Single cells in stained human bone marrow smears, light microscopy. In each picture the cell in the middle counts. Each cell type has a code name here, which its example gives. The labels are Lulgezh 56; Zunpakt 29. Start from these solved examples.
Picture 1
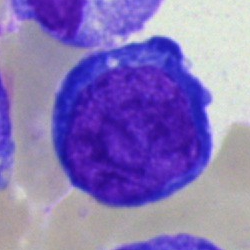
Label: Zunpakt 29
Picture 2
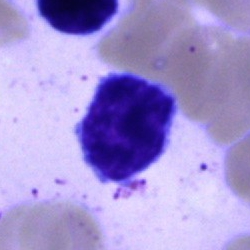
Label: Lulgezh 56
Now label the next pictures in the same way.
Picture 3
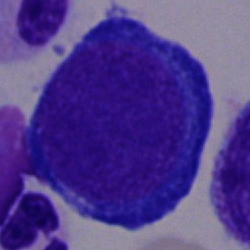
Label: Zunpakt 29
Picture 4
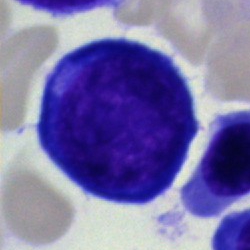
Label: Zunpakt 29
